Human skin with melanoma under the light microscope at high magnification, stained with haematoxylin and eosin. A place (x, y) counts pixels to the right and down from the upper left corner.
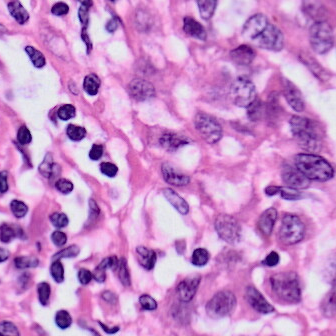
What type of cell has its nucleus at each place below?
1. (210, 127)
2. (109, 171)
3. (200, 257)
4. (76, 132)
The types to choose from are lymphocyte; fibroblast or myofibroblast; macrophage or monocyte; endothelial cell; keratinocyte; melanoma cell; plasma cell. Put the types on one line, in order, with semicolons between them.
melanoma cell; lymphocyte; lymphocyte; lymphocyte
